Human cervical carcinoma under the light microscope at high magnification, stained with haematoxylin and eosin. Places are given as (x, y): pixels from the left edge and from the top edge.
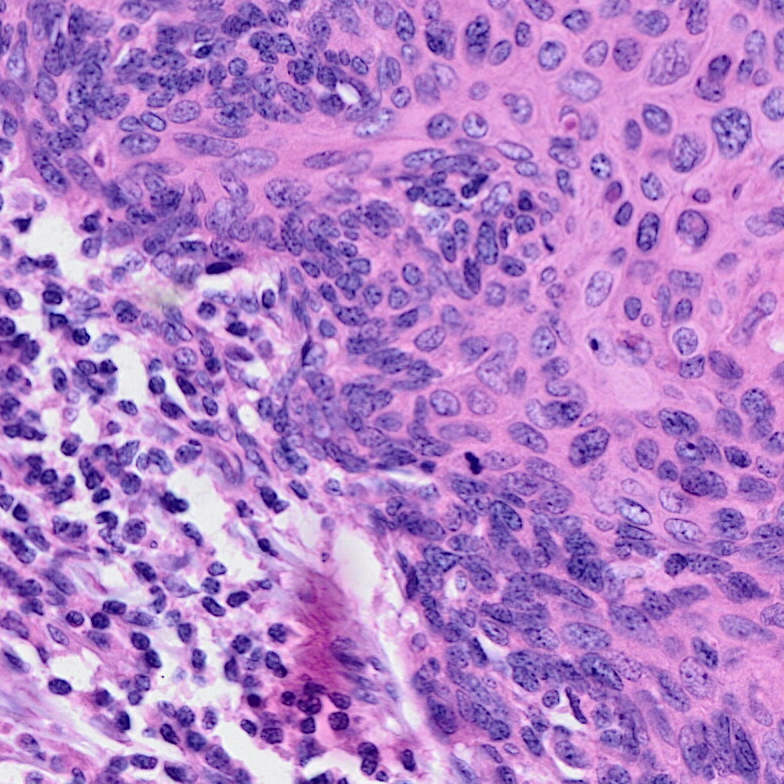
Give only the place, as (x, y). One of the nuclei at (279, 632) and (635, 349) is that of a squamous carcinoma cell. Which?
(635, 349)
